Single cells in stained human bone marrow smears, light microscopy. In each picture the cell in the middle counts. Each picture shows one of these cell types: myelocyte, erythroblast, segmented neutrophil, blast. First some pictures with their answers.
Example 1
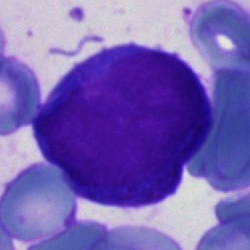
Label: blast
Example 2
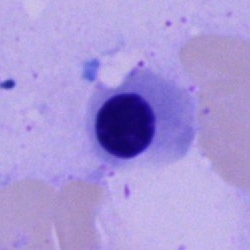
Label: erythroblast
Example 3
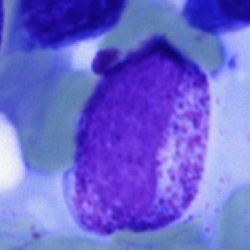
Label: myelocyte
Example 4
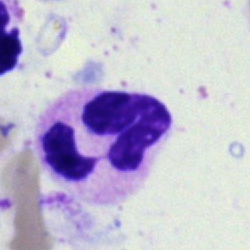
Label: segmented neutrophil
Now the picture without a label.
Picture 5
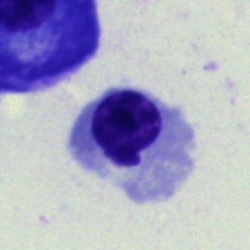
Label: erythroblast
